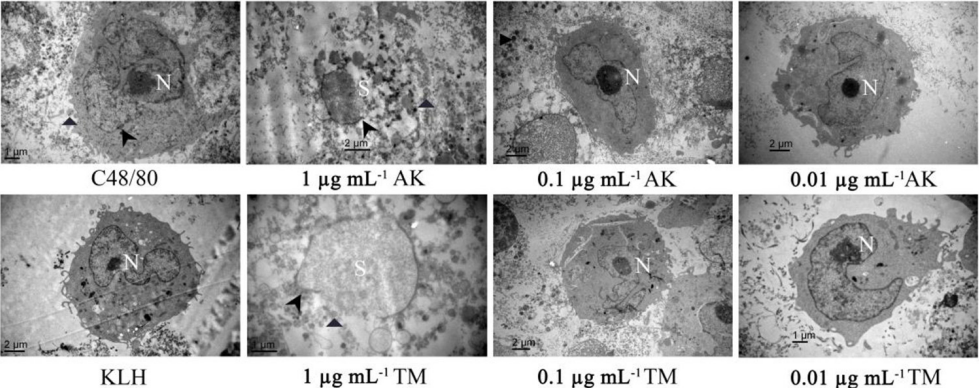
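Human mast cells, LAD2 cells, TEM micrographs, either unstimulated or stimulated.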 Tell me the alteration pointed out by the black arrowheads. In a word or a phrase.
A: Disrupted membranes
